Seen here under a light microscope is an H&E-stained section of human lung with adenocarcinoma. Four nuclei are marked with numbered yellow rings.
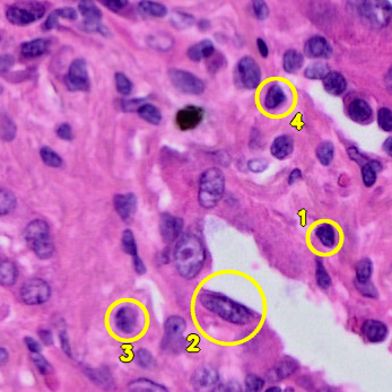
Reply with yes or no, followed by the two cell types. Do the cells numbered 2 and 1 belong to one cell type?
No, what is marked as cell 2 is a carcinoma cell, and what is marked as cell 1 is a lymphocyte.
